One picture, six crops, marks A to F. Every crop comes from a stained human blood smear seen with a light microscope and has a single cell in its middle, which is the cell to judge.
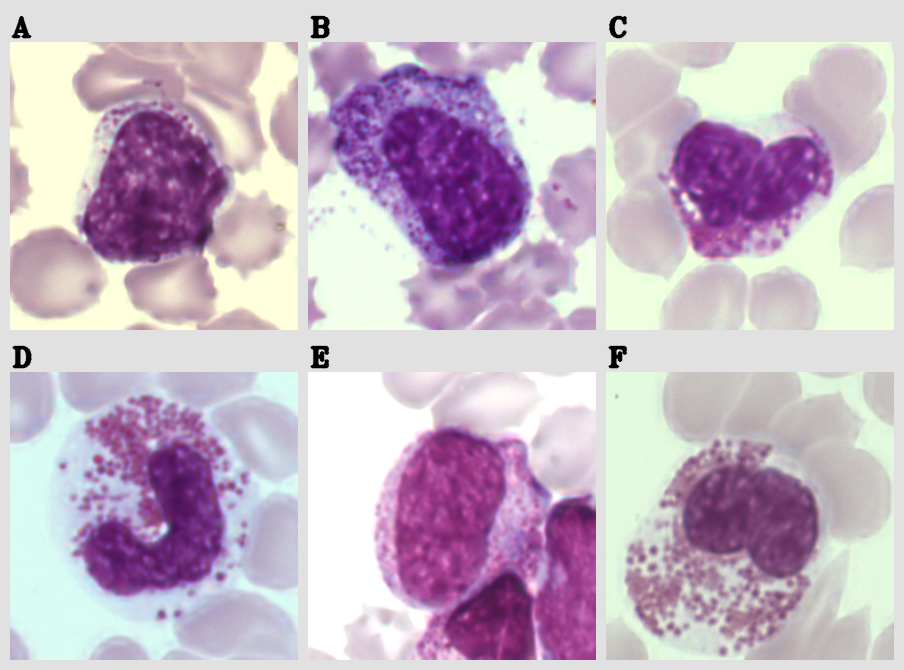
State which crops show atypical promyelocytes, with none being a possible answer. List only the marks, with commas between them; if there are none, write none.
none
